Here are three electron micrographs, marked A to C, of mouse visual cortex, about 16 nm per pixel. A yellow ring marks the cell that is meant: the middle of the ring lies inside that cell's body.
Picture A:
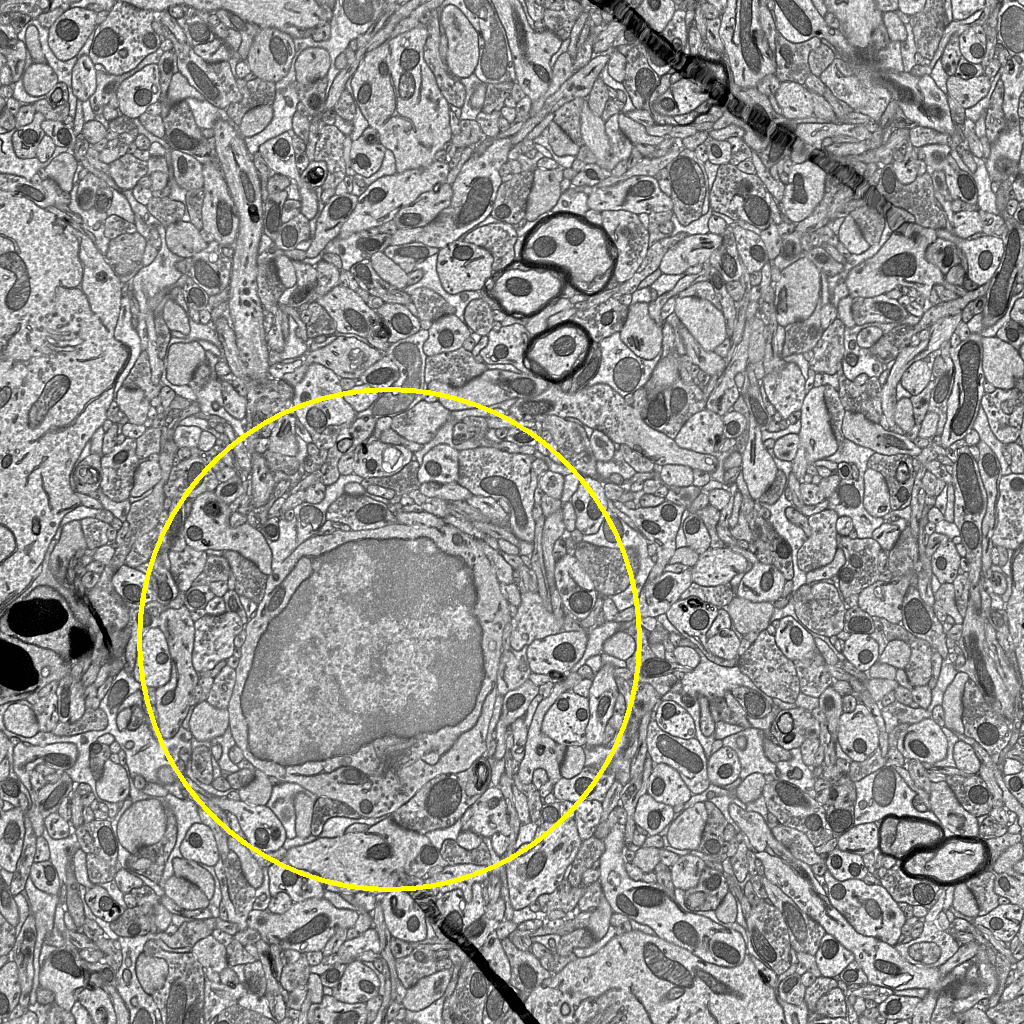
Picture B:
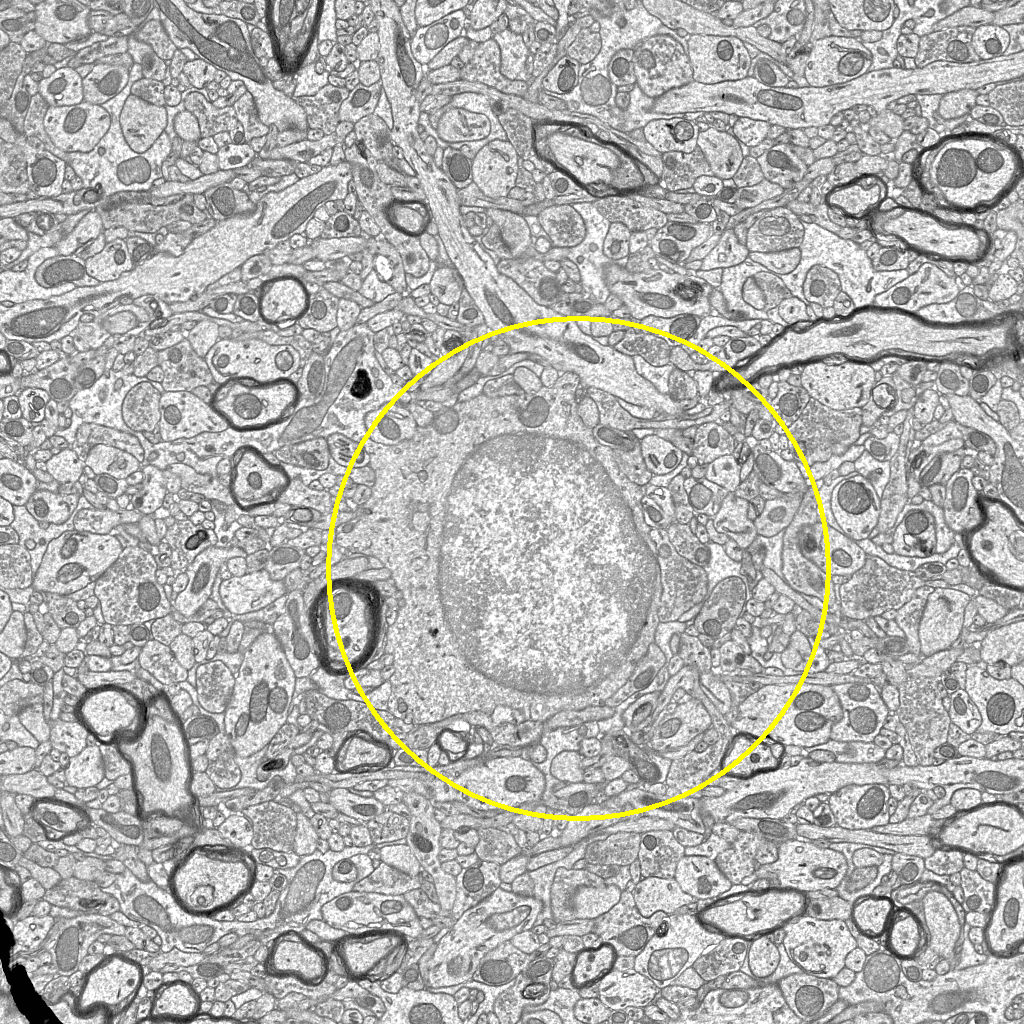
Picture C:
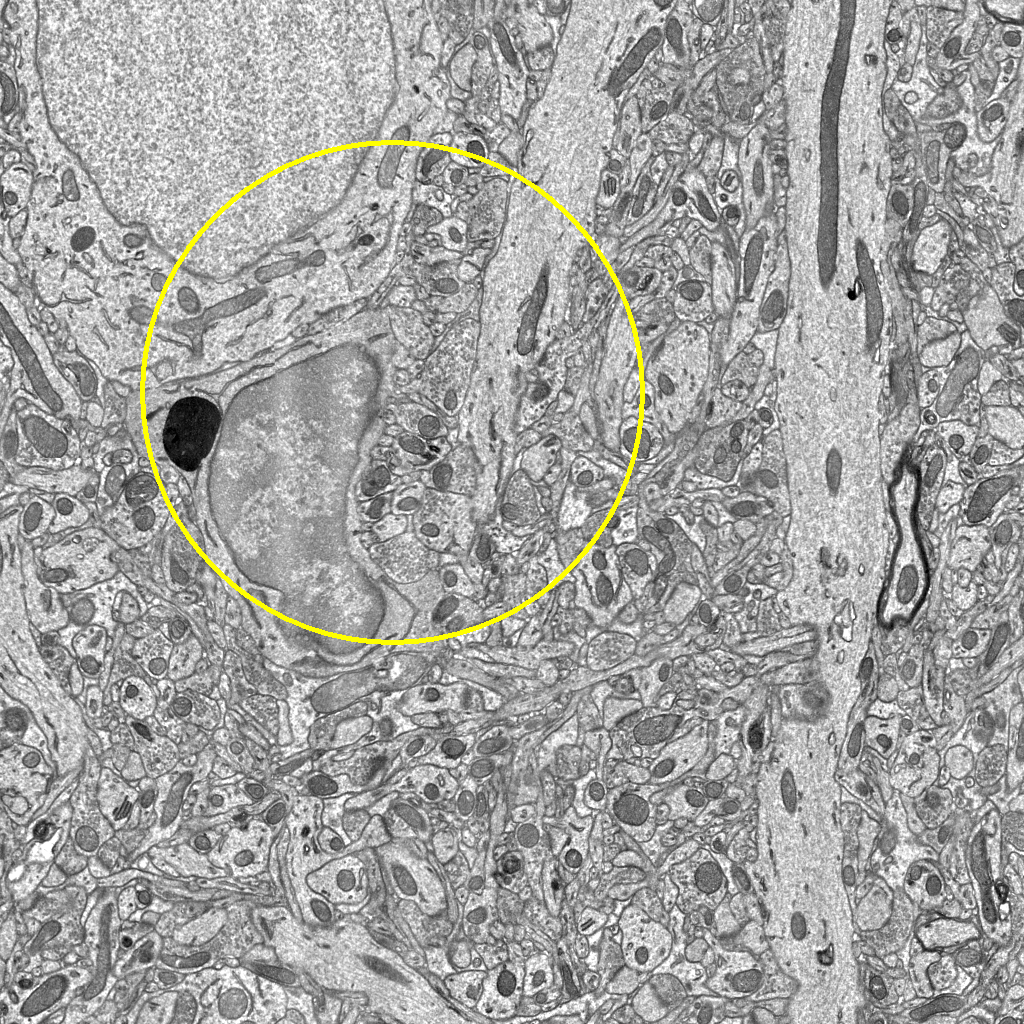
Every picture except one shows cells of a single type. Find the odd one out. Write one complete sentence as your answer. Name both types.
Unlike the rest, which show microglial cells, picture B shows an oligodendrocyte.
